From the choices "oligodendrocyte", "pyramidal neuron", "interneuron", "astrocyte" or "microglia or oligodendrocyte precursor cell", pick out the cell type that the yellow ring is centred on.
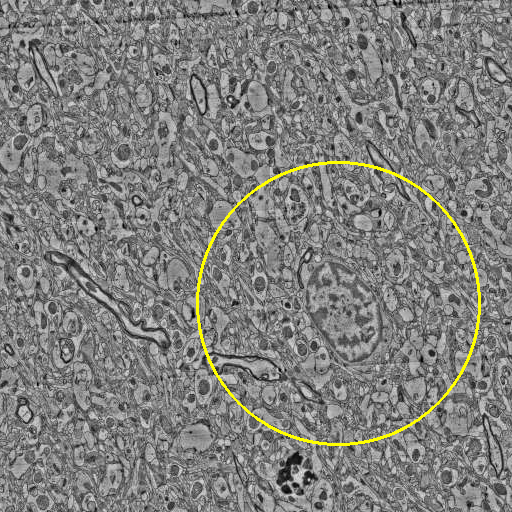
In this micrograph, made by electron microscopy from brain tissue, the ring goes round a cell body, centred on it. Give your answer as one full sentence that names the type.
The yellow ring is centred on an oligodendrocyte, whose cell body it encircles in the picture.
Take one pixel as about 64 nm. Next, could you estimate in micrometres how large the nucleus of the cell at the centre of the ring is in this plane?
Approximately 7 x 5 micrometres in this plane.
